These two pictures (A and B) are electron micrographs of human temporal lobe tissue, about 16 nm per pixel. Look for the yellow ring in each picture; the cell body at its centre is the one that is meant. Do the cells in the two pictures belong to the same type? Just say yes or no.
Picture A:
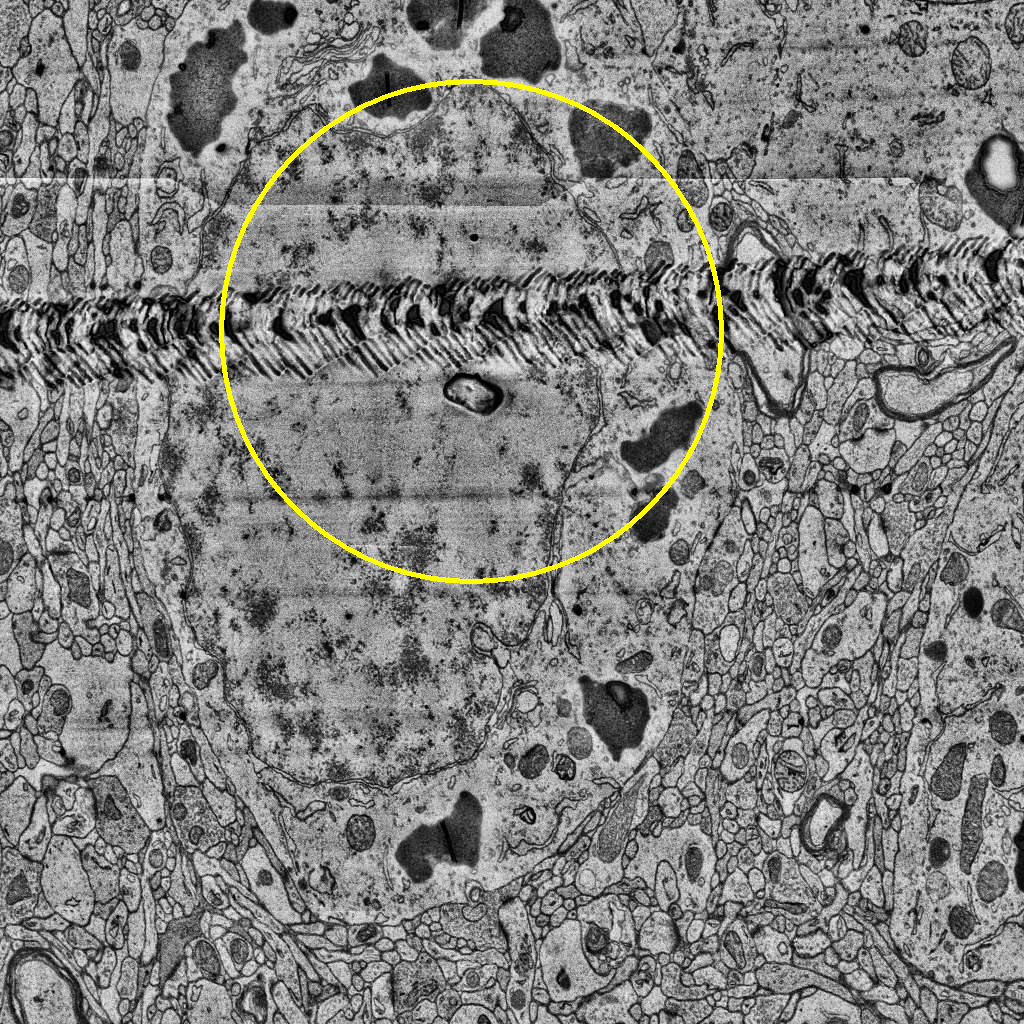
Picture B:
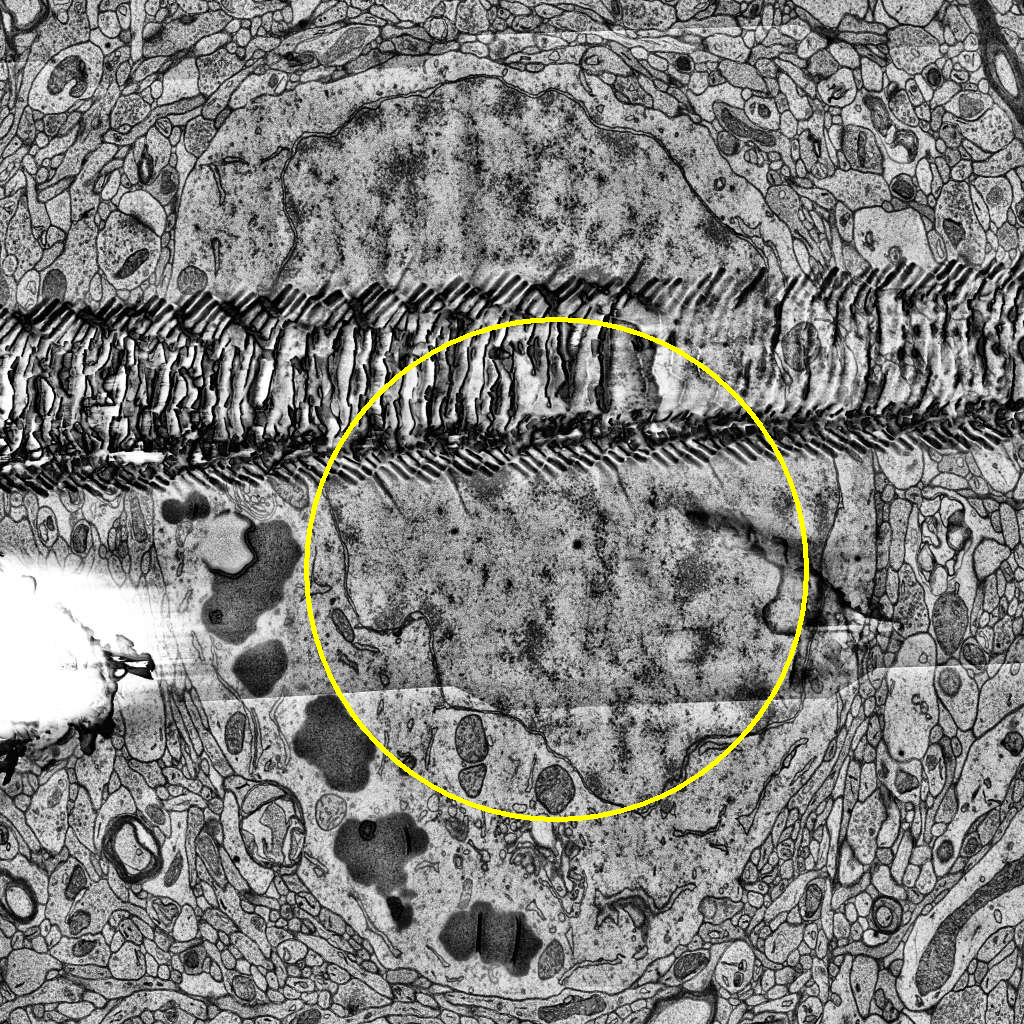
yes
